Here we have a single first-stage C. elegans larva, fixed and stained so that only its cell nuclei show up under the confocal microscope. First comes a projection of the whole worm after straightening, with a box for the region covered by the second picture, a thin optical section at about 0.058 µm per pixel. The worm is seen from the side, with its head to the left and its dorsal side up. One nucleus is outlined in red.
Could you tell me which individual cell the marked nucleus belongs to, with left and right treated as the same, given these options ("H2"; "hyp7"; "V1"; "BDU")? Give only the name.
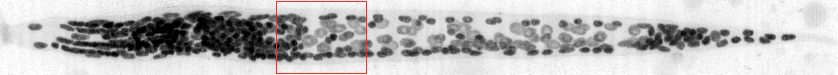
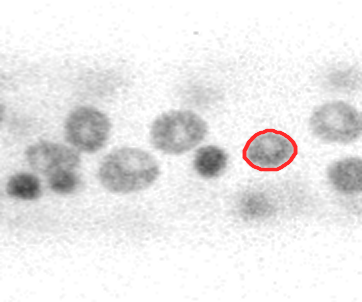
V1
